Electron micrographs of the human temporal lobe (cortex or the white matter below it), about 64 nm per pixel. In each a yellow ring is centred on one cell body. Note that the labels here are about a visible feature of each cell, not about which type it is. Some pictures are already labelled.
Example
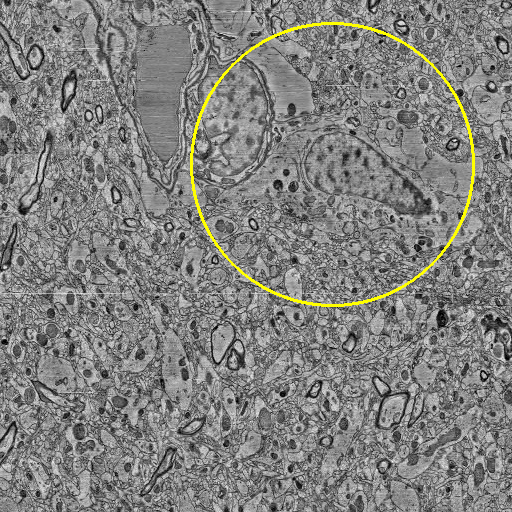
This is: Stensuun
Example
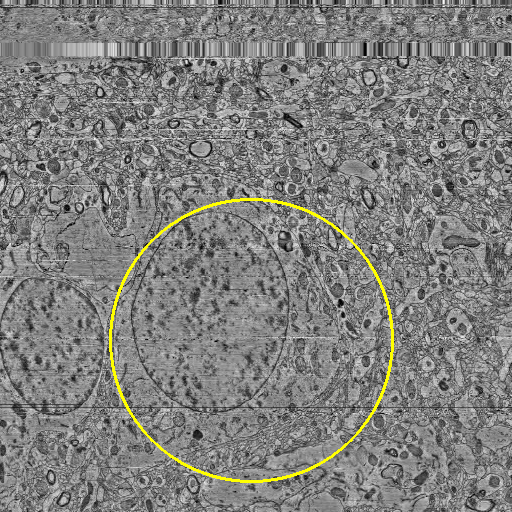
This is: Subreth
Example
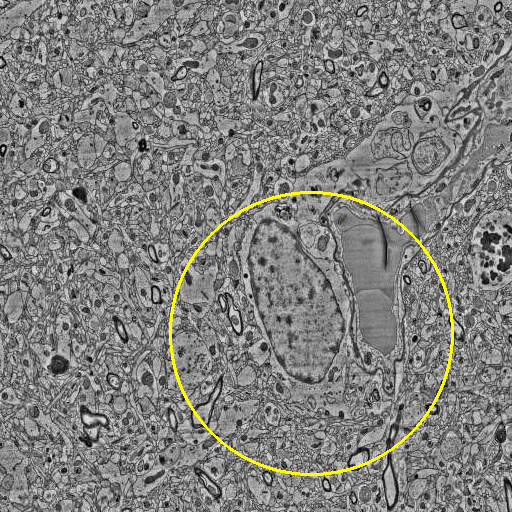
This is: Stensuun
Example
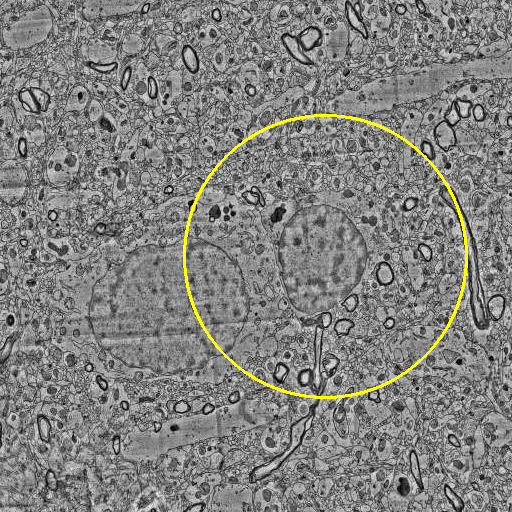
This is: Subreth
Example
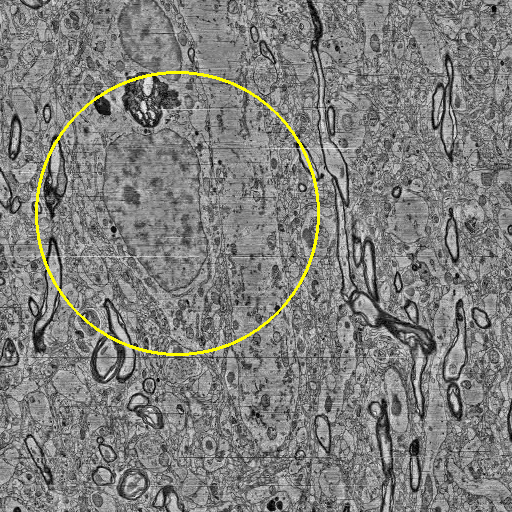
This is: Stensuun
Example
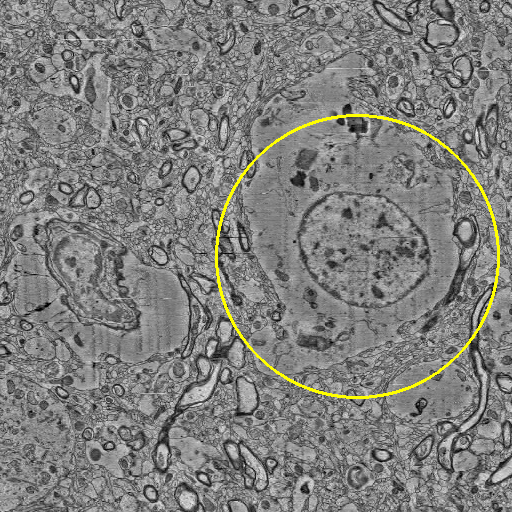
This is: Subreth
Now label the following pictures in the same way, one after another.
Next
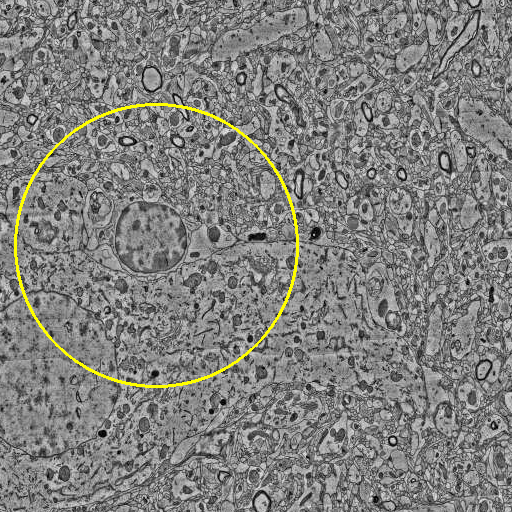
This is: Subreth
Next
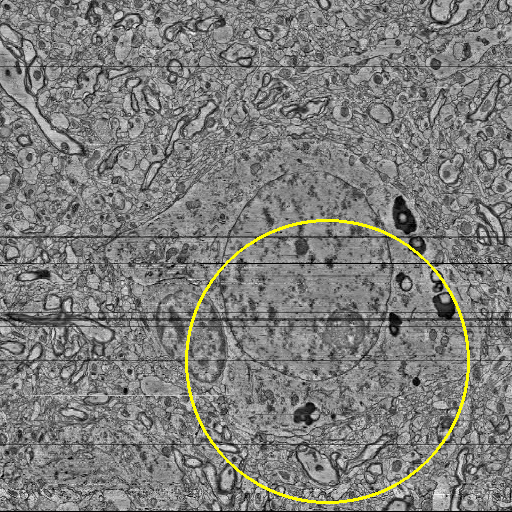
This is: Subreth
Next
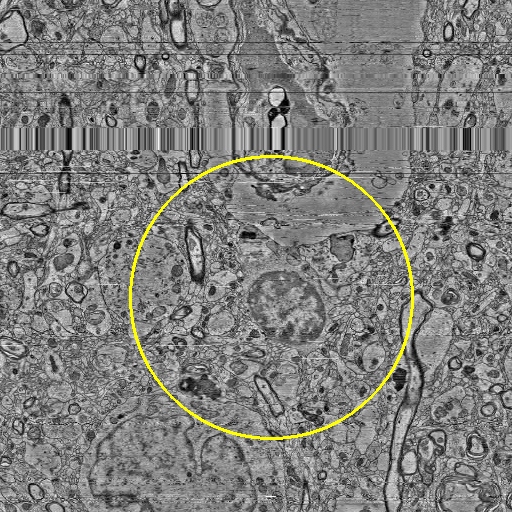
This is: Subreth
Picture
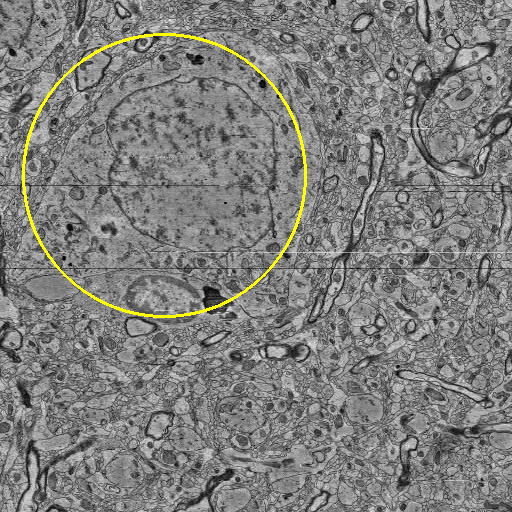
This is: Subreth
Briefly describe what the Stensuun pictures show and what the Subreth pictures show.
Seen in Stensuun: clearly elongated nuclei; seen in Subreth: round or nearly round nuclei.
